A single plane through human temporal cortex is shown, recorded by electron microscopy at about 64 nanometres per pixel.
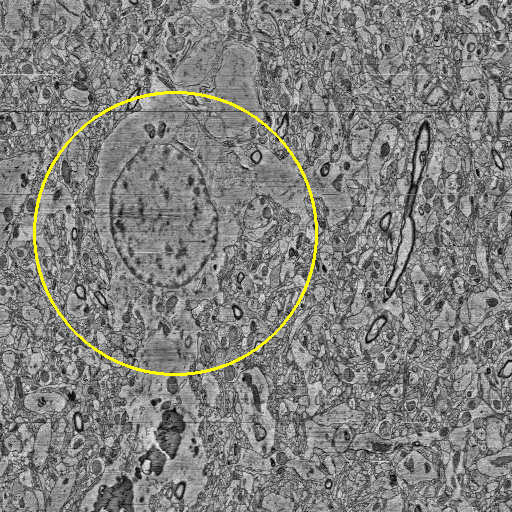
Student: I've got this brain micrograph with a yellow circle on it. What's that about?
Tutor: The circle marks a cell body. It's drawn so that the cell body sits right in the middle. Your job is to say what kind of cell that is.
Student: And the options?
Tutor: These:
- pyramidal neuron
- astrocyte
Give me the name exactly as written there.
astrocyte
